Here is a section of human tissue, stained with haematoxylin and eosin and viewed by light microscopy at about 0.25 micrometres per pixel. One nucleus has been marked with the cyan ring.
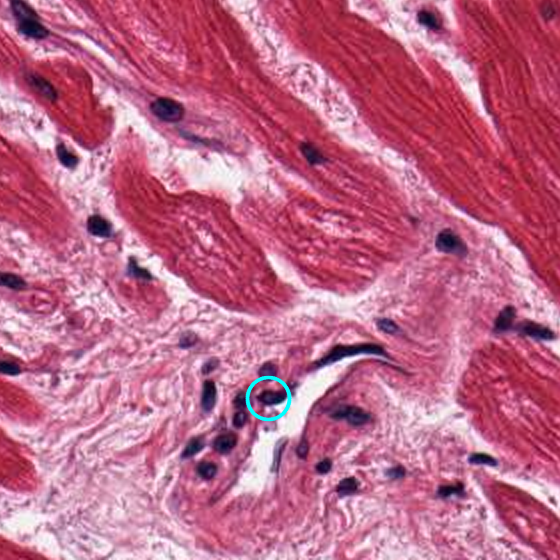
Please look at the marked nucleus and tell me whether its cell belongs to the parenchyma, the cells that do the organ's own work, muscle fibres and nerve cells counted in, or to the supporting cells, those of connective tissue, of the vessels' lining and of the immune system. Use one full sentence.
In this section, a supporting cell is the cell with the marked nucleus.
